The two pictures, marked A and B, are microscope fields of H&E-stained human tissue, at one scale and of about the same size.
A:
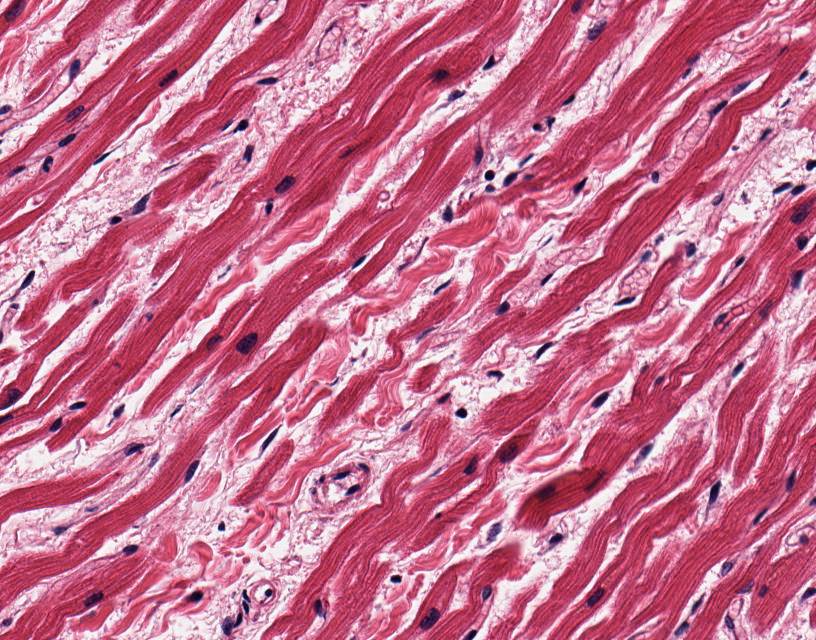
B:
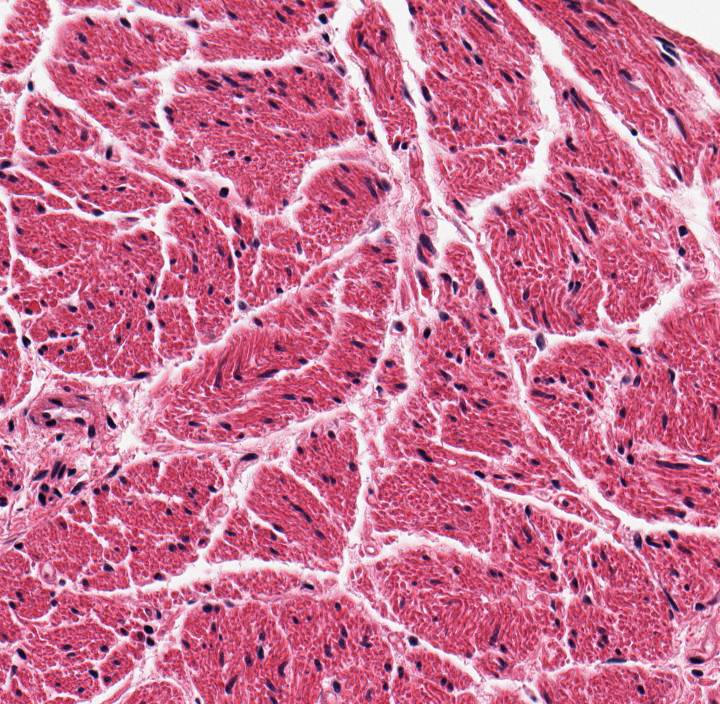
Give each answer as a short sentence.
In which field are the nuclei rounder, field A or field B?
Rounder nuclei lie in field B.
